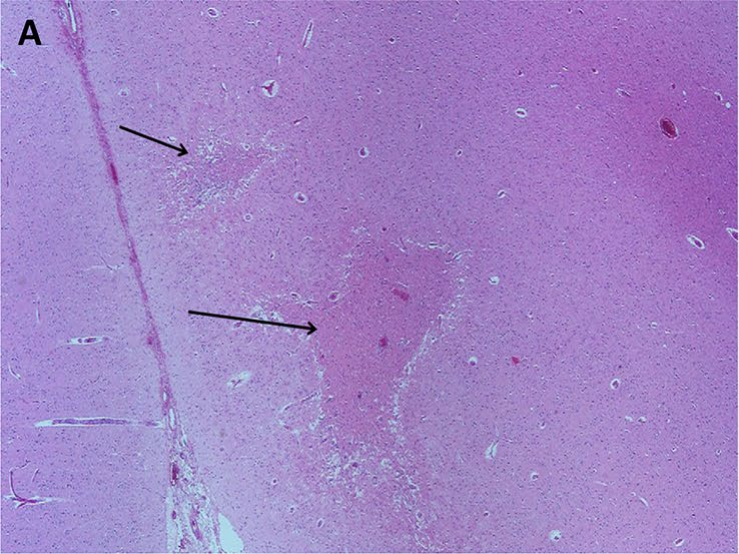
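Cerebral cortex at low magnification showing multiple microinfarcts as small focal areas that differ from the surrounding pink tissue. The upper focus is a pale, loosened, vacuolated patch; the lower, larger focus has a denser pink centre bordered by a pale frayed rim with small clefts. A thin, dark pink linear band of tissue with vessels runs obliquely down the left side of the field.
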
